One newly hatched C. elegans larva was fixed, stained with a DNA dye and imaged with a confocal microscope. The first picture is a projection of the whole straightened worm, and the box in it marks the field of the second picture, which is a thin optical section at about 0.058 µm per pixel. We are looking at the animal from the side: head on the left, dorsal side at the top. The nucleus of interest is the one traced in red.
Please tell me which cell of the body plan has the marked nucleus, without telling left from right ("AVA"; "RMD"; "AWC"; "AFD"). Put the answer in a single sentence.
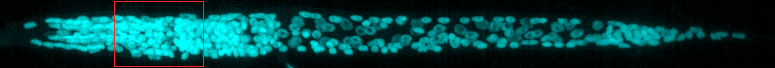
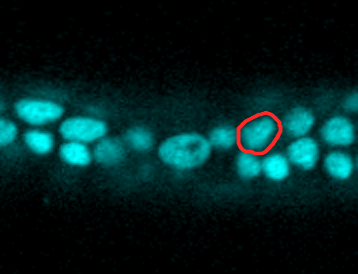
The marked cell is AVA, a neuron.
